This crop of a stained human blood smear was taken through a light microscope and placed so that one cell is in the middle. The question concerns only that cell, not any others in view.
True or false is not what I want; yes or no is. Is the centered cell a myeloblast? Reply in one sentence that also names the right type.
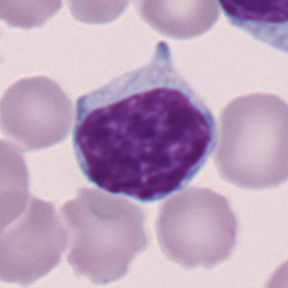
No, the centrally located cell is a typical lymphocyte rather than a myeloblast.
